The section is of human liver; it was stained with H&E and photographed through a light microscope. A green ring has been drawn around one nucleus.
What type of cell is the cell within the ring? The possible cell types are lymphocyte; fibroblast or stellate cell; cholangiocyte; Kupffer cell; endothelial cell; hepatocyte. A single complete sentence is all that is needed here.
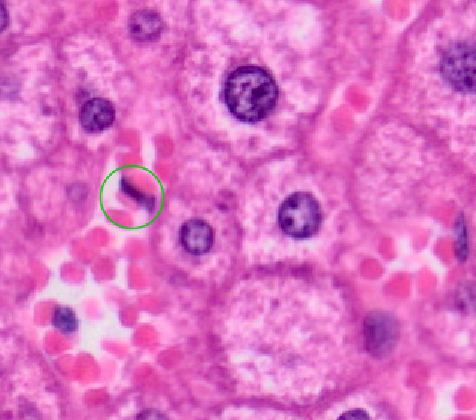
Recorded by type, the cell within the ring is an endothelial cell.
